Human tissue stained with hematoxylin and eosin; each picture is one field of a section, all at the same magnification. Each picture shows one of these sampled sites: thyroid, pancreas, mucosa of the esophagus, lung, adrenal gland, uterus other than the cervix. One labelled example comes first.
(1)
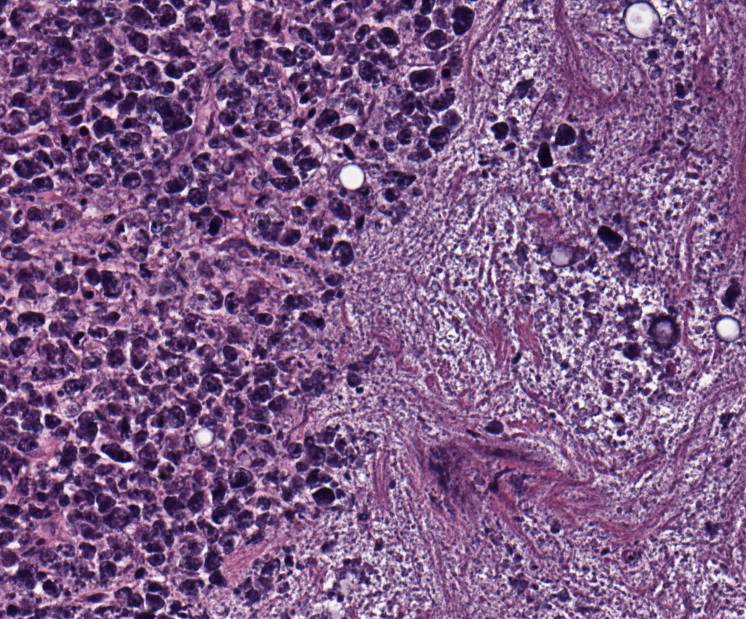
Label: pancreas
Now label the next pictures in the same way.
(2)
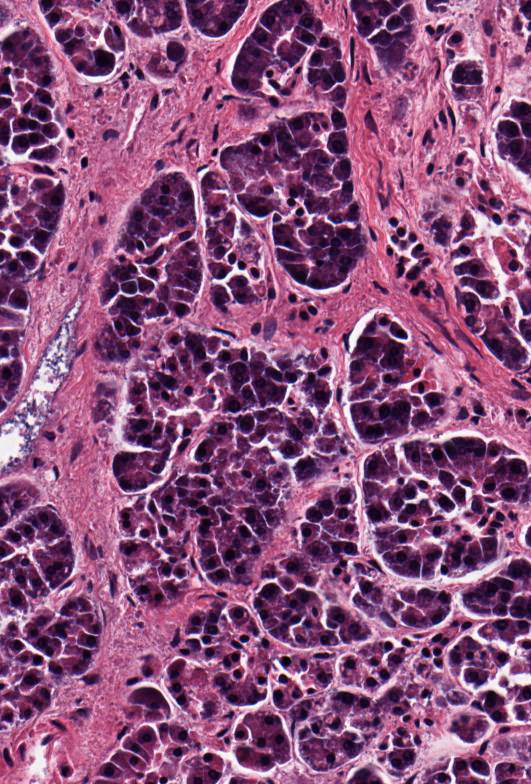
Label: pancreas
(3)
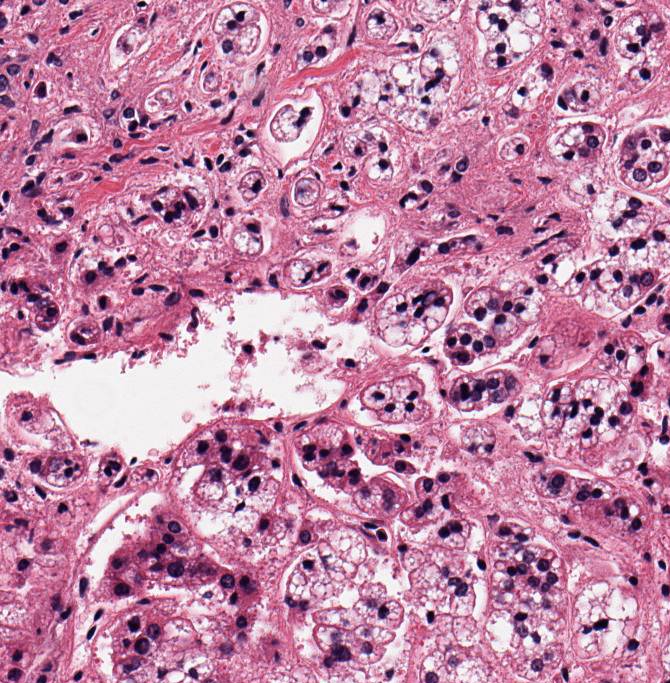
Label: adrenal gland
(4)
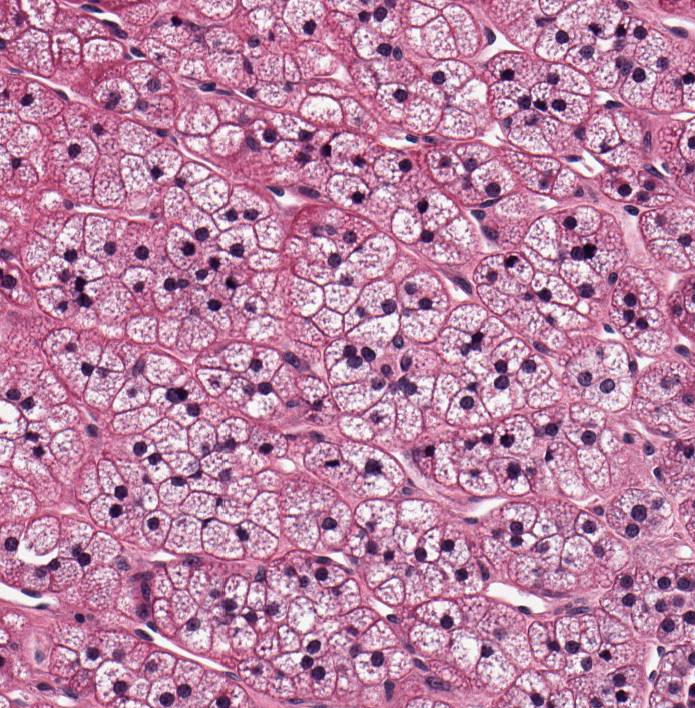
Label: adrenal gland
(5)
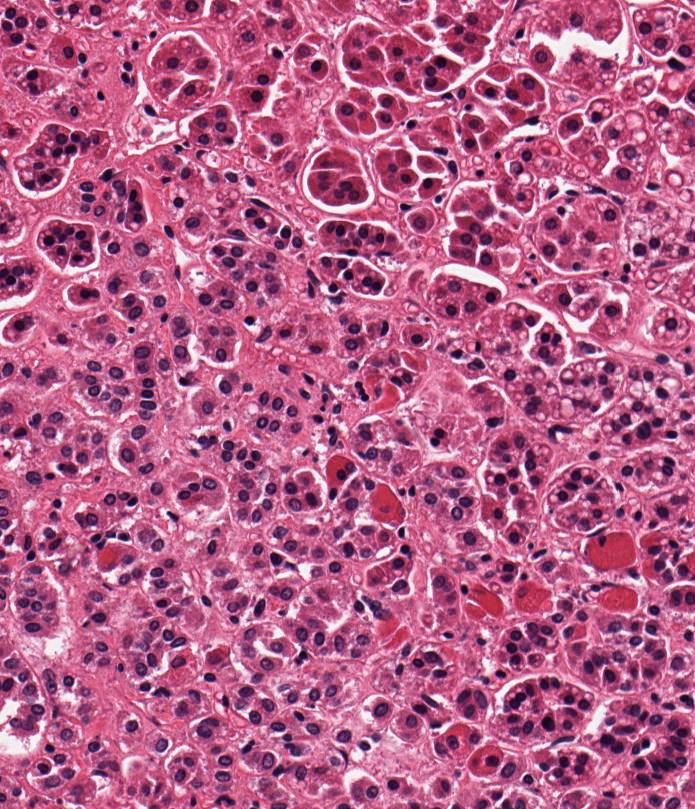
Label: adrenal gland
